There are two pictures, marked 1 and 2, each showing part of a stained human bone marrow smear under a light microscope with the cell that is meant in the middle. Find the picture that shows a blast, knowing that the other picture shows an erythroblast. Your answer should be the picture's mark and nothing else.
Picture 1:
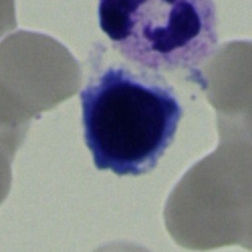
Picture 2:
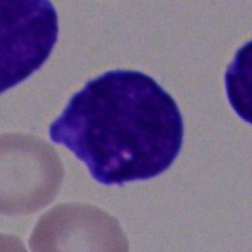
2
